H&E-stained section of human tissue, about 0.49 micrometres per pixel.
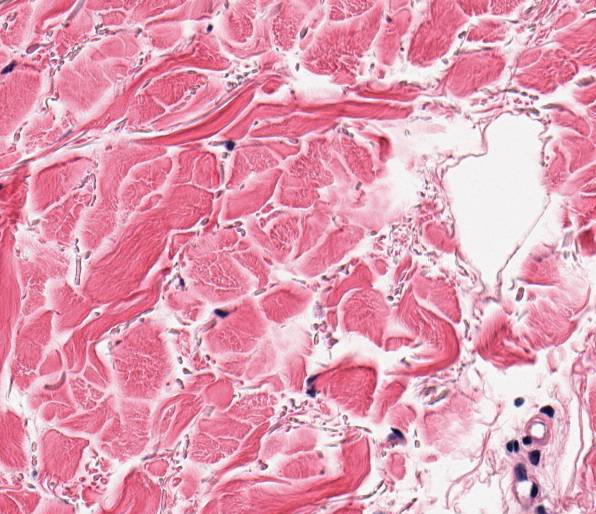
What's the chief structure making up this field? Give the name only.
dermis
